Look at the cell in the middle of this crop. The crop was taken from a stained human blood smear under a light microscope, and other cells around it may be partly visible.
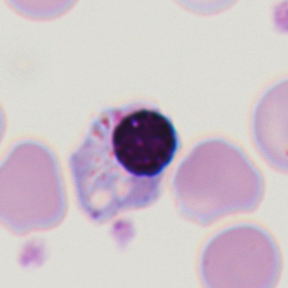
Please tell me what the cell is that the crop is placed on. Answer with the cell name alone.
erythroblast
